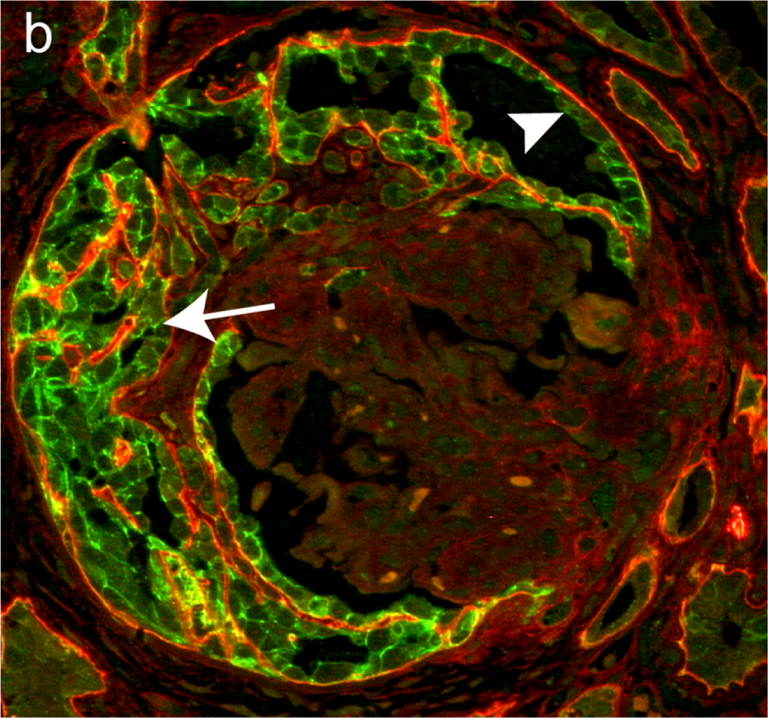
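A glomerulus with an extracapillary proliferative lesion of parietal epithelial cells forming a crescent inside Bowman's capsule. The capsule is a round red rim. Inside it, a broad band of many layers of cuboidal to polygonal cells with bright green outlines encircles much of the glomerulus, traversed by red strands of matrix and enclosing dark clefts. The glomerular tuft in the centre and lower right is compressed, dull red-brown, with few distinct green cells. Outside the capsule, tubules with red basement membranes and green-tinged epithelium lie in red-stained interstitium.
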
